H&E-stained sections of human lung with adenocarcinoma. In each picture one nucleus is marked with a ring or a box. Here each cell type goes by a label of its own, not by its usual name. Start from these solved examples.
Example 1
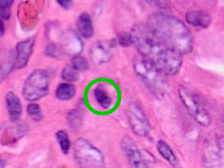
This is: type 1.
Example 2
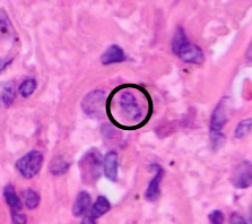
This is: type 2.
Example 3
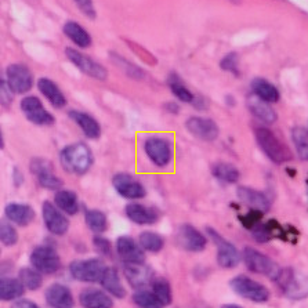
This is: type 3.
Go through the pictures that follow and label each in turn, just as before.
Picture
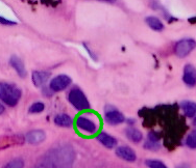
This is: type 1.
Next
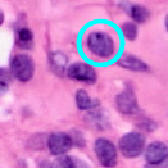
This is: type 3.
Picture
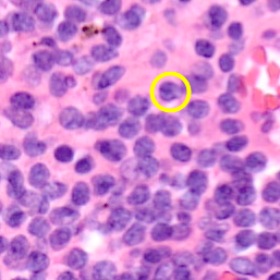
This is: type 1.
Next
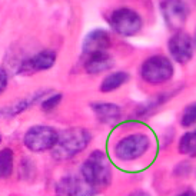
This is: type 3.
